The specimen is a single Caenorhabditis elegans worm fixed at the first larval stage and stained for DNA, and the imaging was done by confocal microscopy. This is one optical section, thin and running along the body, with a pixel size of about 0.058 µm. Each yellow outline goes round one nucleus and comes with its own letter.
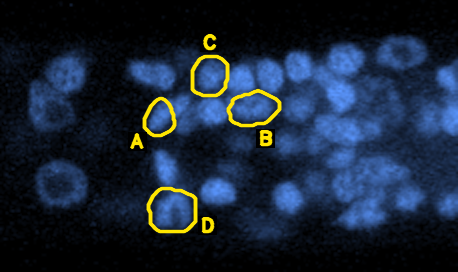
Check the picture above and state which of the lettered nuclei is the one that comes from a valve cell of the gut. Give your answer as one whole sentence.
The one from a valve cell of the gut is A.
